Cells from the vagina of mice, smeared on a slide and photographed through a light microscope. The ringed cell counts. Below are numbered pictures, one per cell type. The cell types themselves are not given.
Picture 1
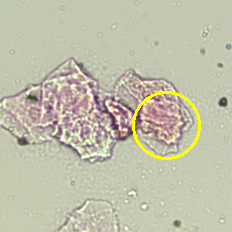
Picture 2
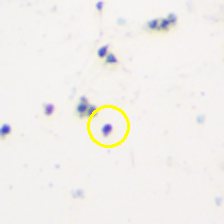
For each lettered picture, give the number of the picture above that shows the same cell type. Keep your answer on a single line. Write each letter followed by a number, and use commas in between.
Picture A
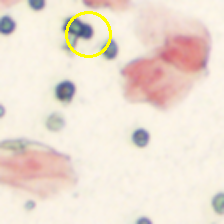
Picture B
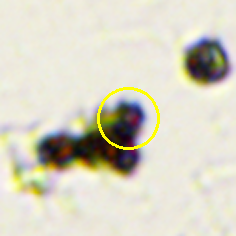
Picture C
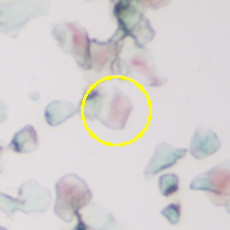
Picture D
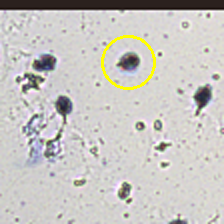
A 2, B 2, C 1, D 2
